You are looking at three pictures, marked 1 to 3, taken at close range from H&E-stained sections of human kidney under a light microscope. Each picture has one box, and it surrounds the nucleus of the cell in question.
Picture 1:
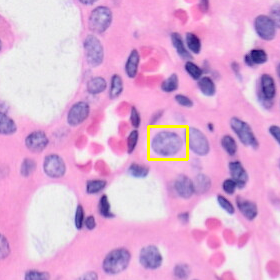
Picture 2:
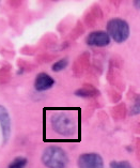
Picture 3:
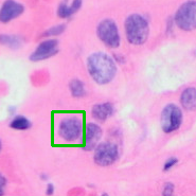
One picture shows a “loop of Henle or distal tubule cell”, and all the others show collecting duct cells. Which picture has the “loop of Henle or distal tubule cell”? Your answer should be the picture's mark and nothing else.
2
